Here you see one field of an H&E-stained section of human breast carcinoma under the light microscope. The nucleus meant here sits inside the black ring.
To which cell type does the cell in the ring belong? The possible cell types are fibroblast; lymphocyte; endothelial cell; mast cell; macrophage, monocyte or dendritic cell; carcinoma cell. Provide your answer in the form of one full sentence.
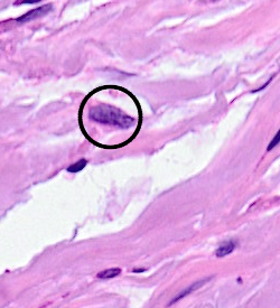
For the purposes of cell typing, the cell in the ring is categorized as a fibroblast.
